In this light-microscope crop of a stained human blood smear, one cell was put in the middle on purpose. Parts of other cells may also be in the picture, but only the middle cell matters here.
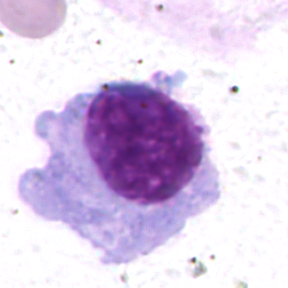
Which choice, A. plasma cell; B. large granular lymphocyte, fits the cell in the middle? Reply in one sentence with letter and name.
Seen at the centre of the crop is a plasma cell, so option A is correct.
